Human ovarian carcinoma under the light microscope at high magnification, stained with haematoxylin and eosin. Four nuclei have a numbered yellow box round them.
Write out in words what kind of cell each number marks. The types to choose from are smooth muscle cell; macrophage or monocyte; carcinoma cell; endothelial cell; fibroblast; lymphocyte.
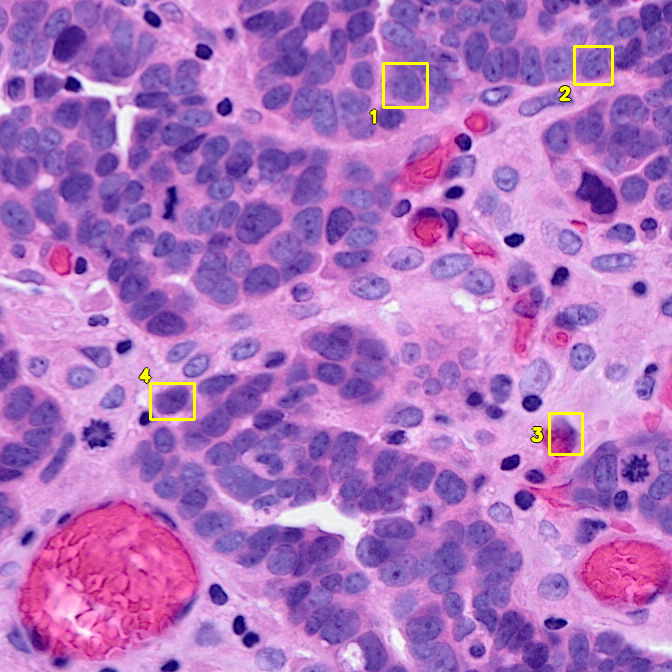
Cells 1, 2 and 4 are carcinoma cells. Cell 3 is an endothelial cell.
